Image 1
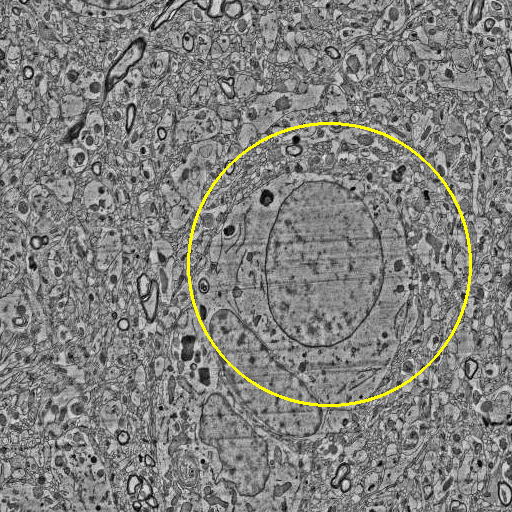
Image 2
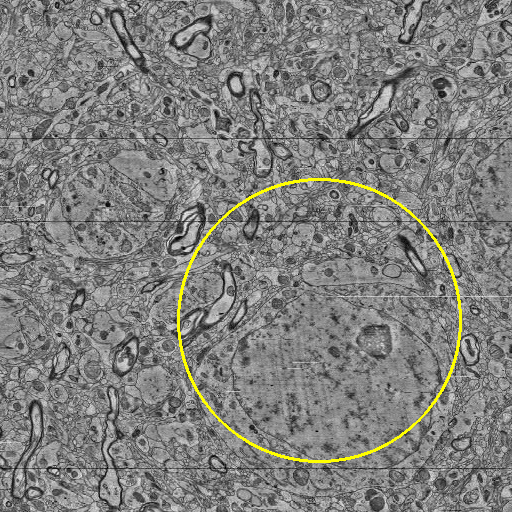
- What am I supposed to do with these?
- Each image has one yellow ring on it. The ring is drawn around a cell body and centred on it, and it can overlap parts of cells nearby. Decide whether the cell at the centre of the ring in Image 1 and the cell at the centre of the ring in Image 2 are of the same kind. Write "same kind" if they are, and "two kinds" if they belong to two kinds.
same kind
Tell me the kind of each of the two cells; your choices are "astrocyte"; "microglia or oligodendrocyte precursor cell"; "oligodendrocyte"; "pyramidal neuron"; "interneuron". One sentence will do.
The cell at the ring centre is a pyramidal neuron in both pictures.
